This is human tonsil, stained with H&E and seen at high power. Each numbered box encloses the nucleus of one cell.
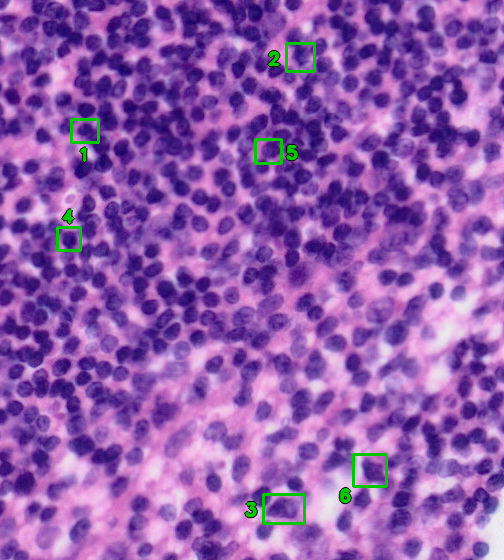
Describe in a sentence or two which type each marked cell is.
Cells 1, 2, 4 and 5 are small lymphocytes. Cells 3 and 6 are proliferating B cells.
